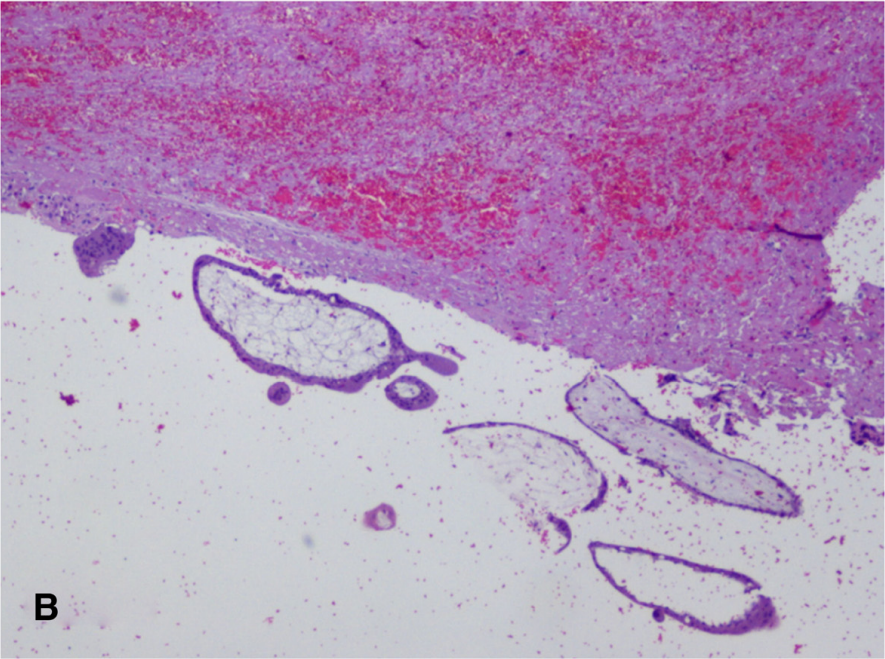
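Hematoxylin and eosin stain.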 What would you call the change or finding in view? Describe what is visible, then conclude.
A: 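The upper part is a broad band of pale pink-purple amorphous material mixed with red blood cells. Few nuclei are present in this band.
Hence: fibrinohemorrhagic material.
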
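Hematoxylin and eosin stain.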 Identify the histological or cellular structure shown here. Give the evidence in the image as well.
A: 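Several rounded and elongated free-floating structures with loose, pale, edematous stroma. Each structure is lined by a thin purple epithelial layer with small knob-like thickenings.
Conclusion: Chorial villi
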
